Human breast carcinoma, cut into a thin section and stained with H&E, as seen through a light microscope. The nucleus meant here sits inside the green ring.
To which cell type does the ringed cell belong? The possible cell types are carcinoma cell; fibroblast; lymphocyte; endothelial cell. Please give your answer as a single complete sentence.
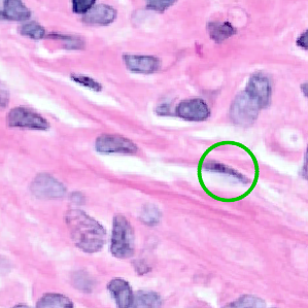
The cell type represented by the ringed cell is that of a fibroblast.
